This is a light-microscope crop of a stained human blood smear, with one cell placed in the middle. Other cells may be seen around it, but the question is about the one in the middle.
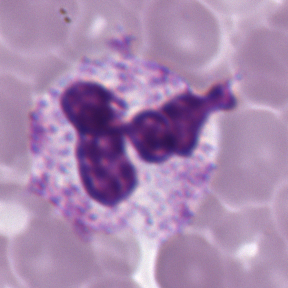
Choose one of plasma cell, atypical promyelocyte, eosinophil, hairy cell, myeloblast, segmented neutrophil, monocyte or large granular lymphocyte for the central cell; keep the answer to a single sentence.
In the middle of this smear crop is a segmented neutrophil.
